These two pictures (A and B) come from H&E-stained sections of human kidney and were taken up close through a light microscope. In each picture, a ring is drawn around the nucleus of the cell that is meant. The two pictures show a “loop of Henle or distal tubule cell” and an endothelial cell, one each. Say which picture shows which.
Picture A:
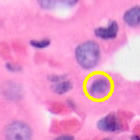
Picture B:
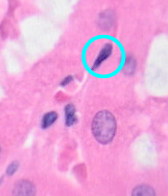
A: loop of Henle or distal tubule cell
B: endothelial cell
